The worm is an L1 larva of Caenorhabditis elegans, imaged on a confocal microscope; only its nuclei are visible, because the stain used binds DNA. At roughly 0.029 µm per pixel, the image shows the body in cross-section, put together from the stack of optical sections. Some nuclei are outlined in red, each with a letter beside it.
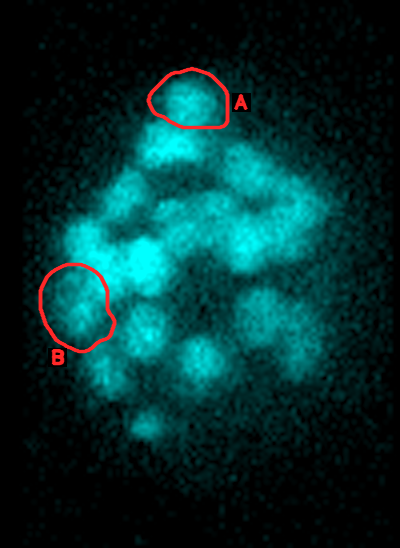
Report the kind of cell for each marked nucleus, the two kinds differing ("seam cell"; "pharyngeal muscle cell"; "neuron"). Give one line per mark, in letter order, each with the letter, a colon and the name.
A: neuron
B: seam cell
